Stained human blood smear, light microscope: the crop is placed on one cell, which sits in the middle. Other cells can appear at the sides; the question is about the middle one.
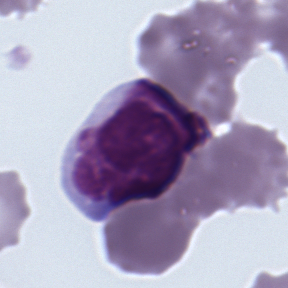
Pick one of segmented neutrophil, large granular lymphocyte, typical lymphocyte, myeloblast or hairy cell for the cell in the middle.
myeloblast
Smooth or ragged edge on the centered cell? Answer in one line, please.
Smoothness is lacking at the edge, which is ragged in places or drawn into projections.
